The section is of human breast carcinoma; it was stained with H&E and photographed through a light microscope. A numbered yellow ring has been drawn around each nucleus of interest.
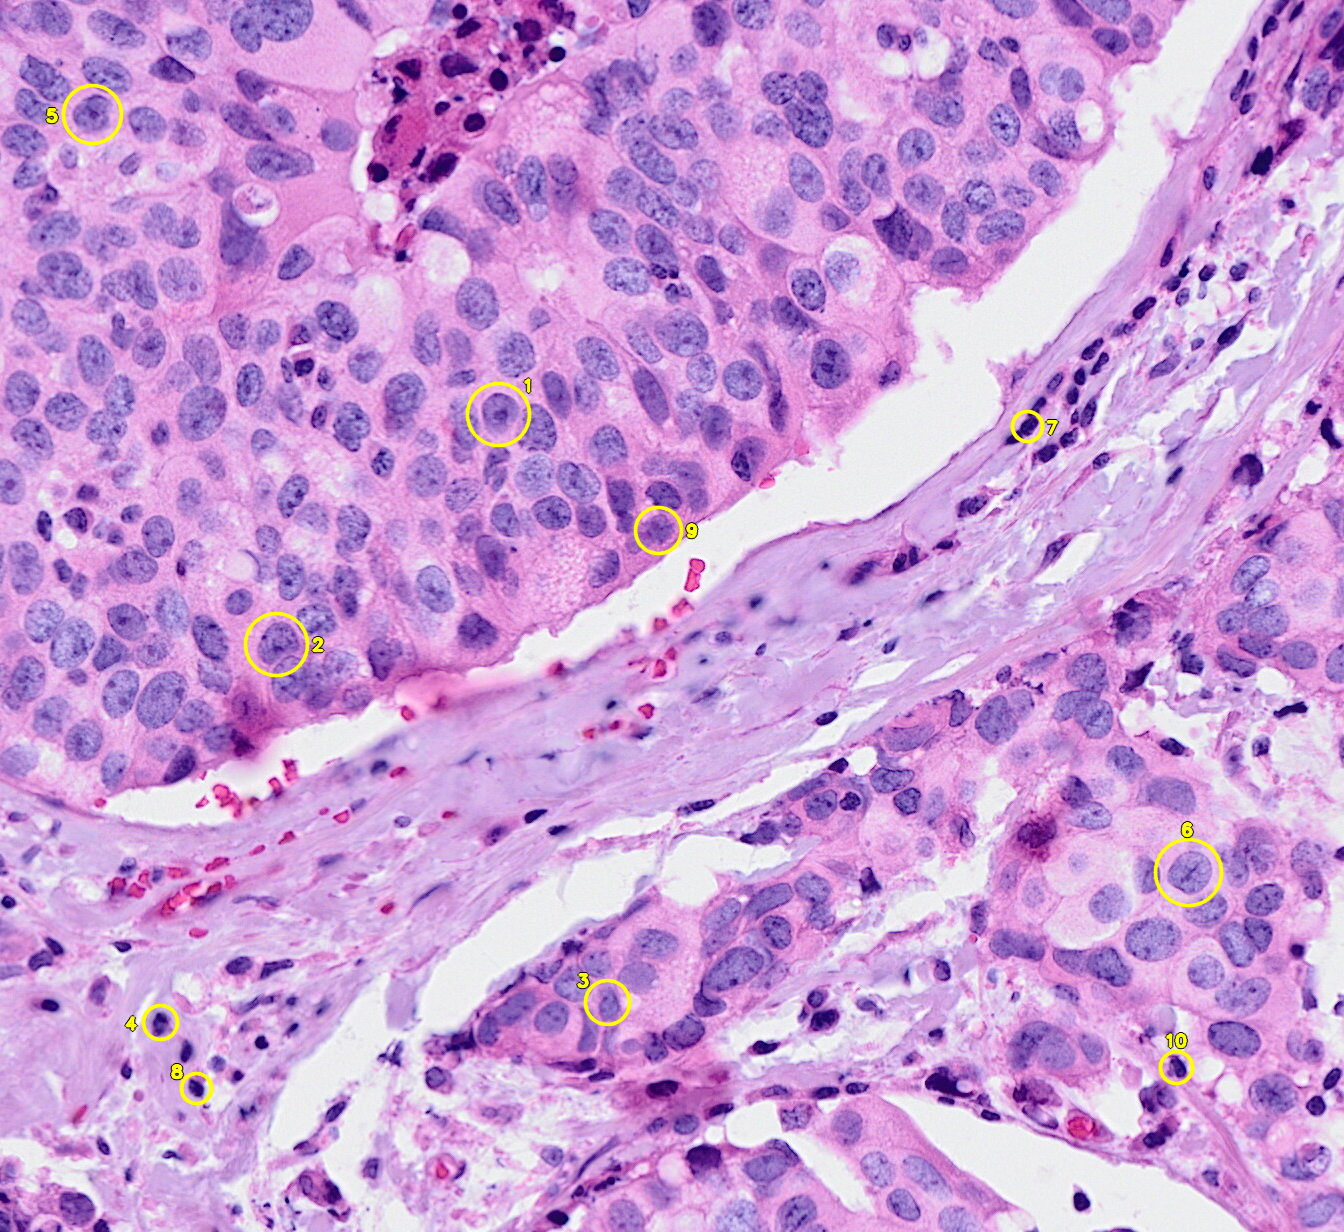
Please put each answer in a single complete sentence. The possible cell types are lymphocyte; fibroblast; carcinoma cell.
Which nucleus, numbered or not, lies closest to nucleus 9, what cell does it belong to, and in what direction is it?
The nearest one is a carcinoma cell, found below and to the left of nucleus 9.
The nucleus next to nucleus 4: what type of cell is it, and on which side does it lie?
The nearest one is a lymphocyte, found below and to the right of nucleus 4.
